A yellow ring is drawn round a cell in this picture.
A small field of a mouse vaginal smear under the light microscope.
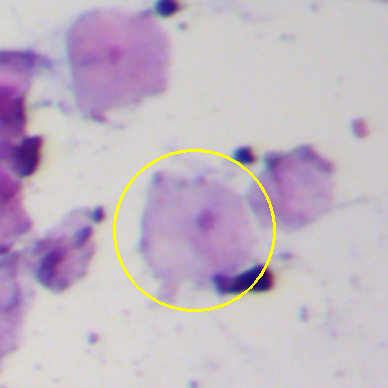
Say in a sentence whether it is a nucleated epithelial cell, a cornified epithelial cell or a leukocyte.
The cell in the ring is a cornified epithelial cell.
